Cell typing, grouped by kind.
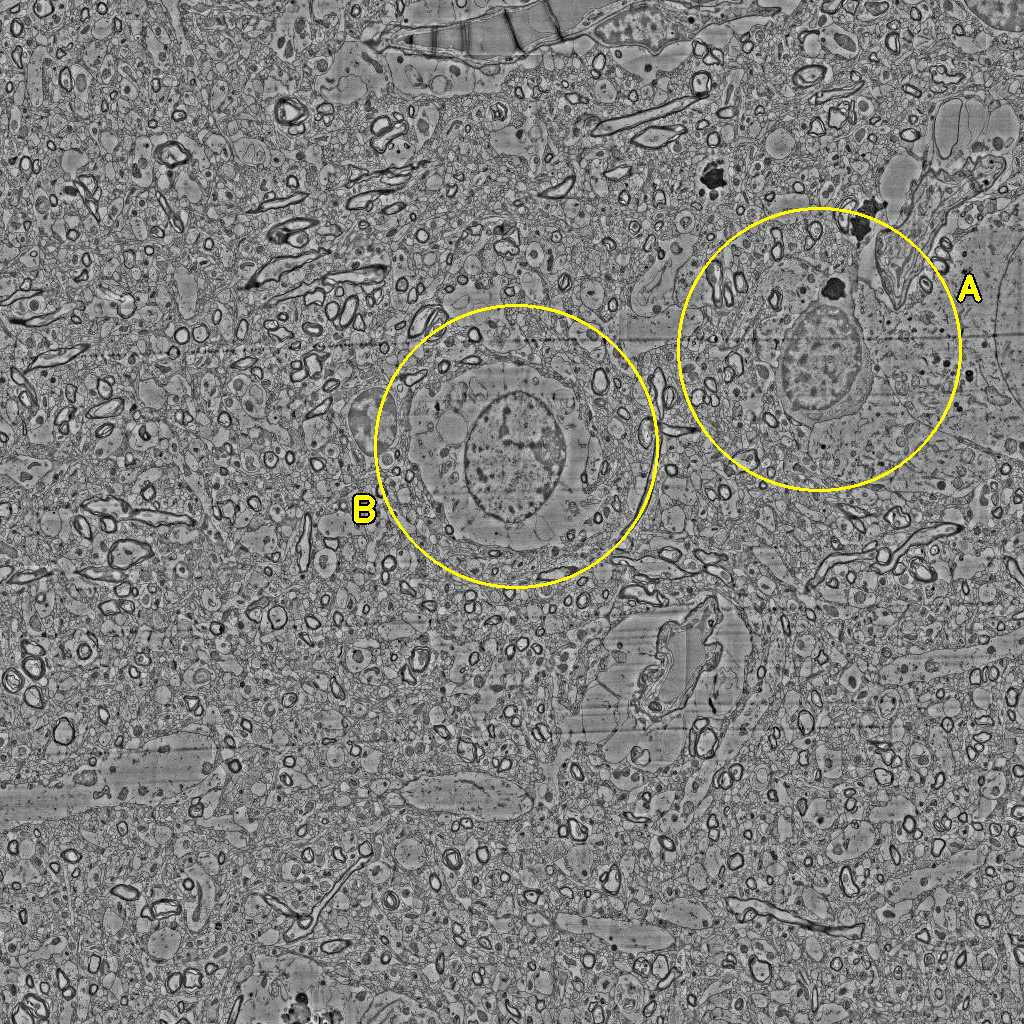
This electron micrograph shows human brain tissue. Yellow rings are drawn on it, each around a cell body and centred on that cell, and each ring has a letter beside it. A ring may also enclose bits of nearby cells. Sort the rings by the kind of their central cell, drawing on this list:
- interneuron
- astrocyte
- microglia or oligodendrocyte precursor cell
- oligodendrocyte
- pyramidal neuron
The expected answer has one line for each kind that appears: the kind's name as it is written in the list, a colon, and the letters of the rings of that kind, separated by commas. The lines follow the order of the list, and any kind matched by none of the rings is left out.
astrocyte: B
oligodendrocyte: A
